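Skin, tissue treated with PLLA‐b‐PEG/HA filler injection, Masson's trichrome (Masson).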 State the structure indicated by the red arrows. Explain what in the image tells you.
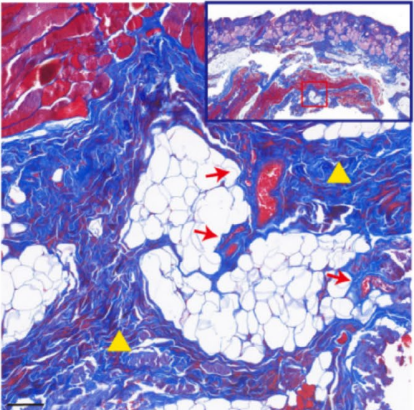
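The arrows point to small narrow structures at the edges of the fat-cell clusters. Some nearby small lumens contain red-stained contents. So: microvessels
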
